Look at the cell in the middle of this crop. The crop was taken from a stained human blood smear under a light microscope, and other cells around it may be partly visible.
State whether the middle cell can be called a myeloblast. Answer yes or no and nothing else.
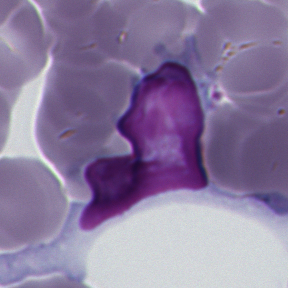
no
